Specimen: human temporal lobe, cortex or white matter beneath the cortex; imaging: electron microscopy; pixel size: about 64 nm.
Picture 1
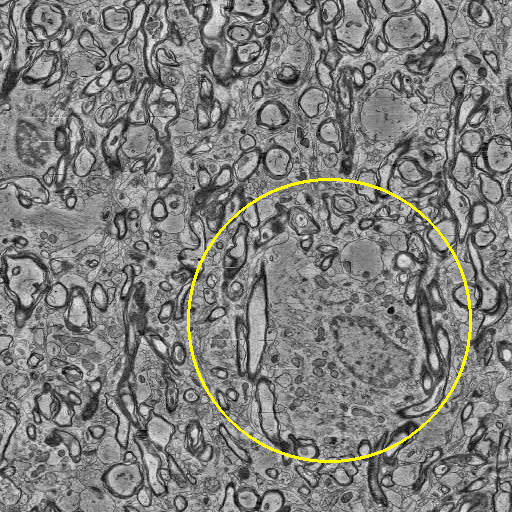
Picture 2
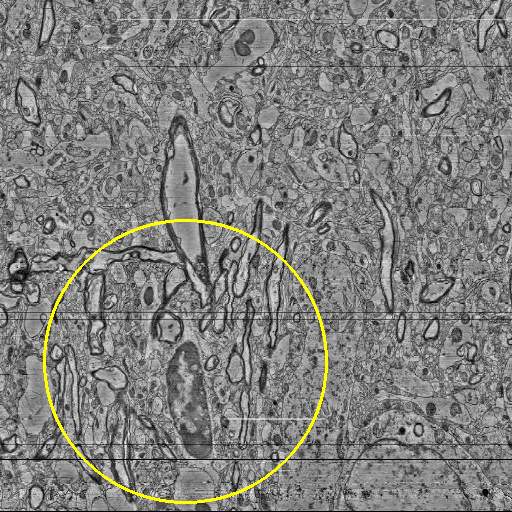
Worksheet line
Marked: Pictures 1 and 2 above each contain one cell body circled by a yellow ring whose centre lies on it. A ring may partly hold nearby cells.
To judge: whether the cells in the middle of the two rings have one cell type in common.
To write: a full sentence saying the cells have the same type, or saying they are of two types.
The cells in the middle of the rings in Picture 1 and Picture 2 are of two types.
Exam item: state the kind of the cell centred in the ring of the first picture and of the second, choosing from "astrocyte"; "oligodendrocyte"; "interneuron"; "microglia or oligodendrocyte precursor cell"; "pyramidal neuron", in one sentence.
The first picture shows an astrocyte at the ring centre and the second shows a microglial cell or oligodendrocyte precursor cell.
